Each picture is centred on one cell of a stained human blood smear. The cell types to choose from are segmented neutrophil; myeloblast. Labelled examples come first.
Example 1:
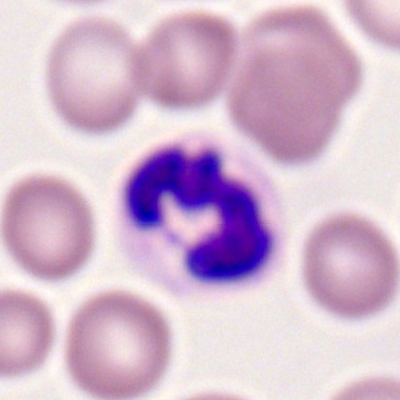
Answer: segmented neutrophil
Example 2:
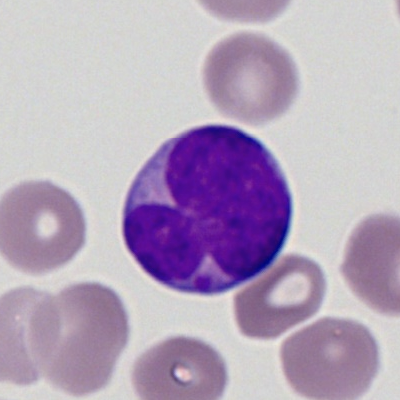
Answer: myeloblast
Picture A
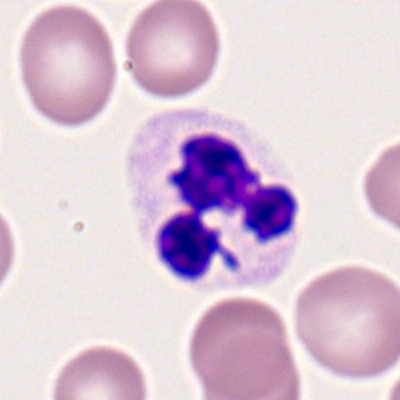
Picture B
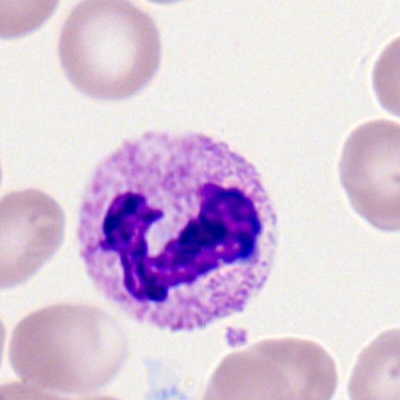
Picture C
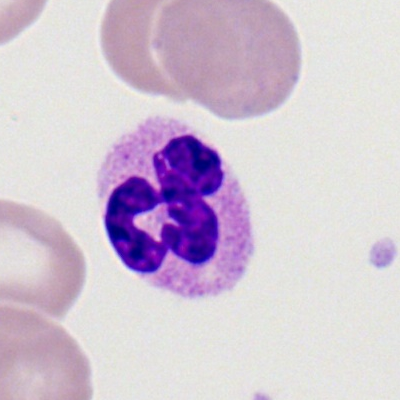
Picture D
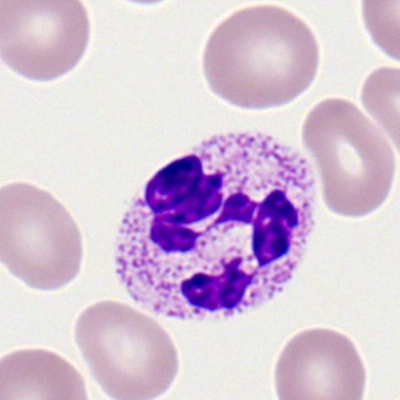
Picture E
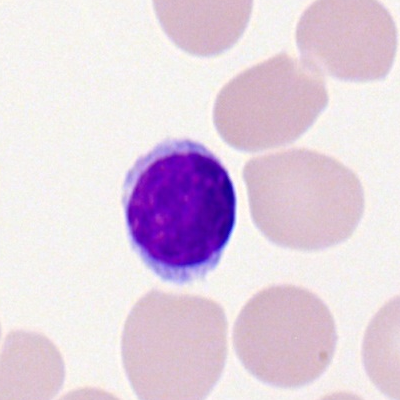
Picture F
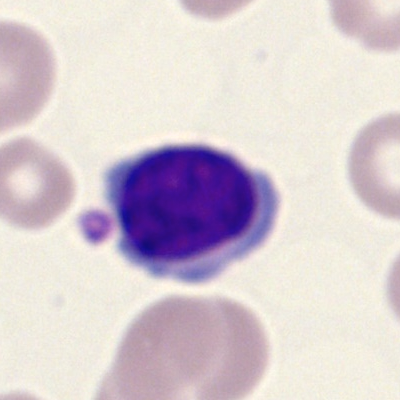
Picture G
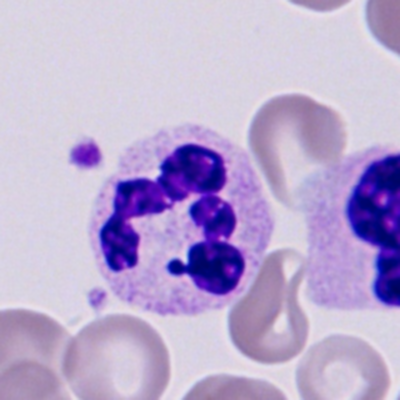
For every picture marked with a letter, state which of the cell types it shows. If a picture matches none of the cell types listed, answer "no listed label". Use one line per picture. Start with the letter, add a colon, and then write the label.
A: segmented neutrophil
B: segmented neutrophil
C: segmented neutrophil
D: segmented neutrophil
E: no listed label
F: no listed label
G: segmented neutrophil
